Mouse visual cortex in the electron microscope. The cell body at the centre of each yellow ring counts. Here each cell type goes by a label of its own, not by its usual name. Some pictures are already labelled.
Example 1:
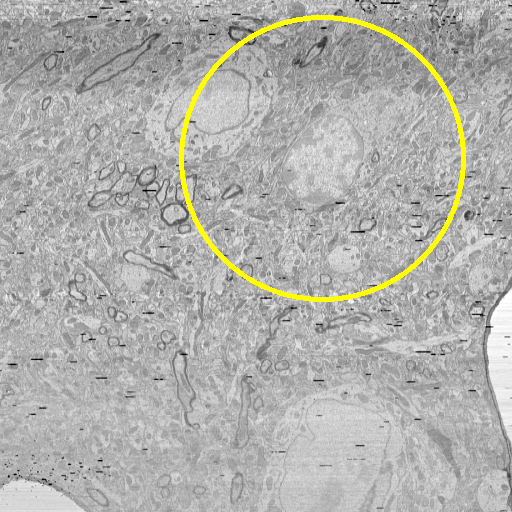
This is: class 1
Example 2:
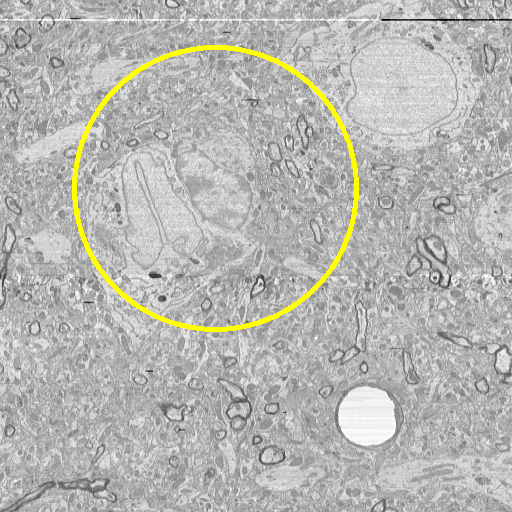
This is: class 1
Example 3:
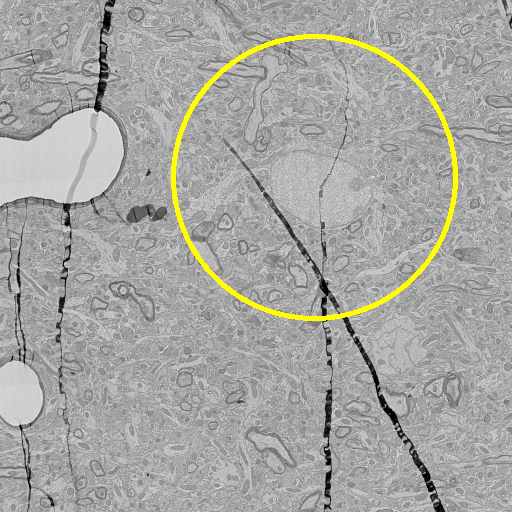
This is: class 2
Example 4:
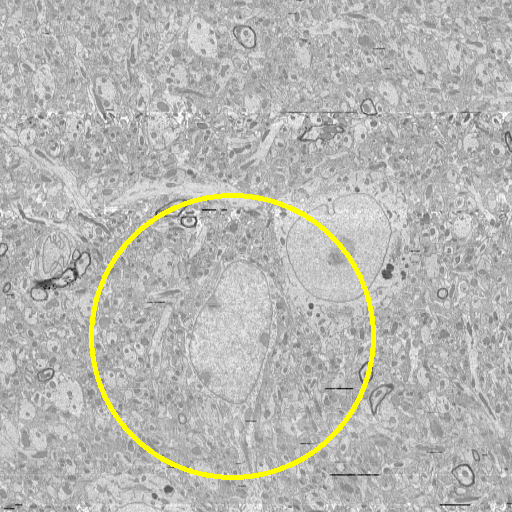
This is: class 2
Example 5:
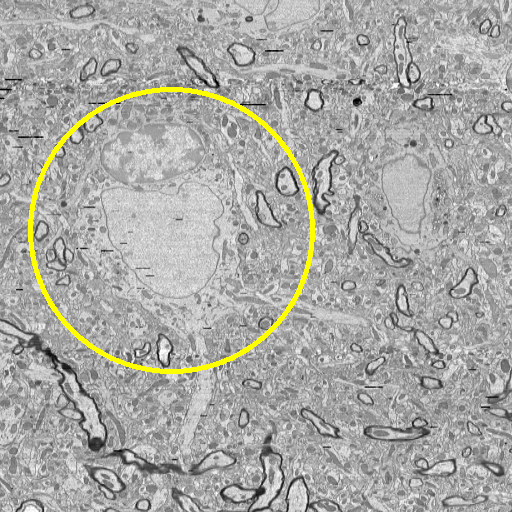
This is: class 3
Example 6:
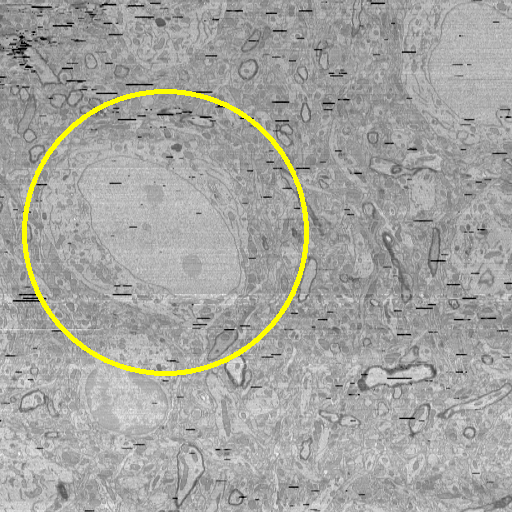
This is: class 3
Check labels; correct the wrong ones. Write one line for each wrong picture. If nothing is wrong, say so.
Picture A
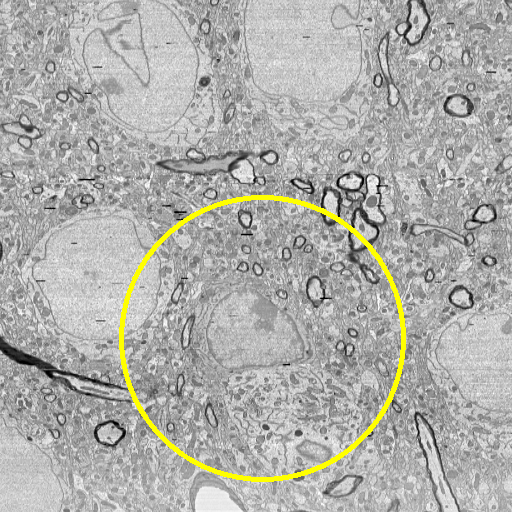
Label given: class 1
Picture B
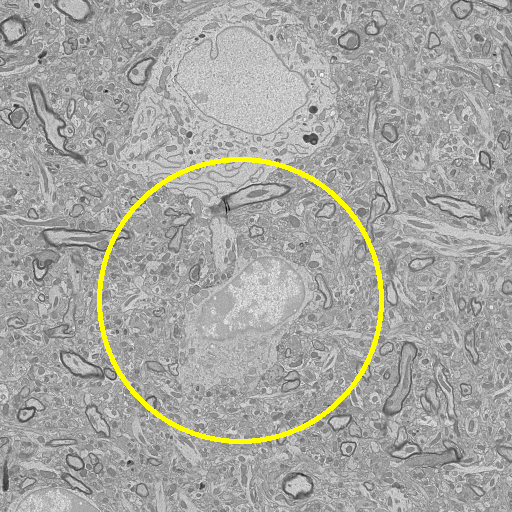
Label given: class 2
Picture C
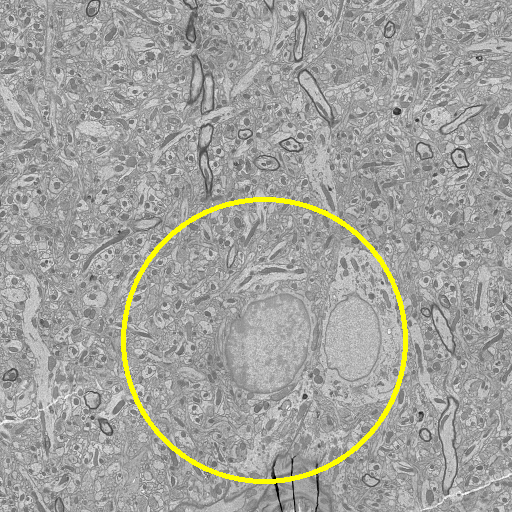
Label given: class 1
B: class 1, not class 2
